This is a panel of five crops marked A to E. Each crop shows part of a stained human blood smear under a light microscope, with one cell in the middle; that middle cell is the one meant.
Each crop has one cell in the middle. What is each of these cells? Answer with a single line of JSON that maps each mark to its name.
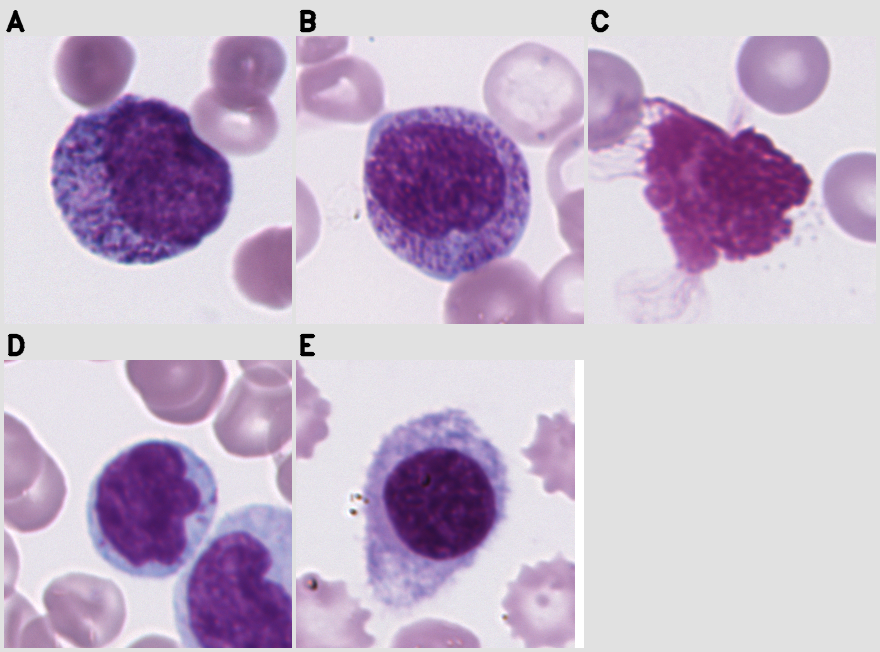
{"A": "myelocyte", "B": "promyelocyte", "C": "smudge cell", "D": "large granular lymphocyte", "E": "hairy cell"}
